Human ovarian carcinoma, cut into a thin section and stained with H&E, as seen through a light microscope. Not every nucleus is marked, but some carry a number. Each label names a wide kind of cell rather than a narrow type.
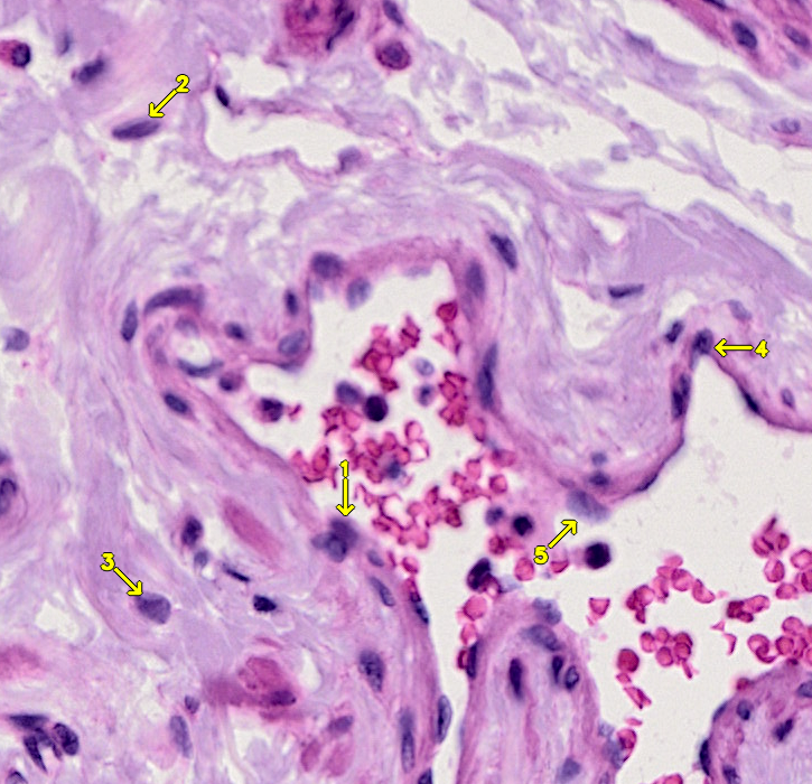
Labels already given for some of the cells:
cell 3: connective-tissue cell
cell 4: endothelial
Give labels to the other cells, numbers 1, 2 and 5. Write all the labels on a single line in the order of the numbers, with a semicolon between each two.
endothelial; connective-tissue cell; endothelial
